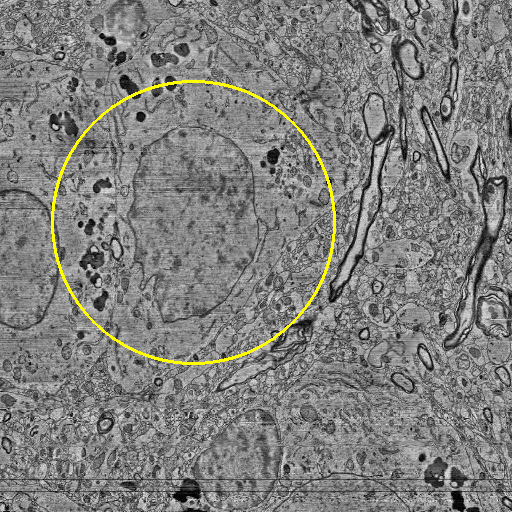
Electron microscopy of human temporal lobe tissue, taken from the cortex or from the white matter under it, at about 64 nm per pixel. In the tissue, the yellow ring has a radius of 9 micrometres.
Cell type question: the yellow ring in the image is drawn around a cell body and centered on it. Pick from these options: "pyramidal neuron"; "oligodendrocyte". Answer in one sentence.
The ringed cell at the center is a pyramidal neuron.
